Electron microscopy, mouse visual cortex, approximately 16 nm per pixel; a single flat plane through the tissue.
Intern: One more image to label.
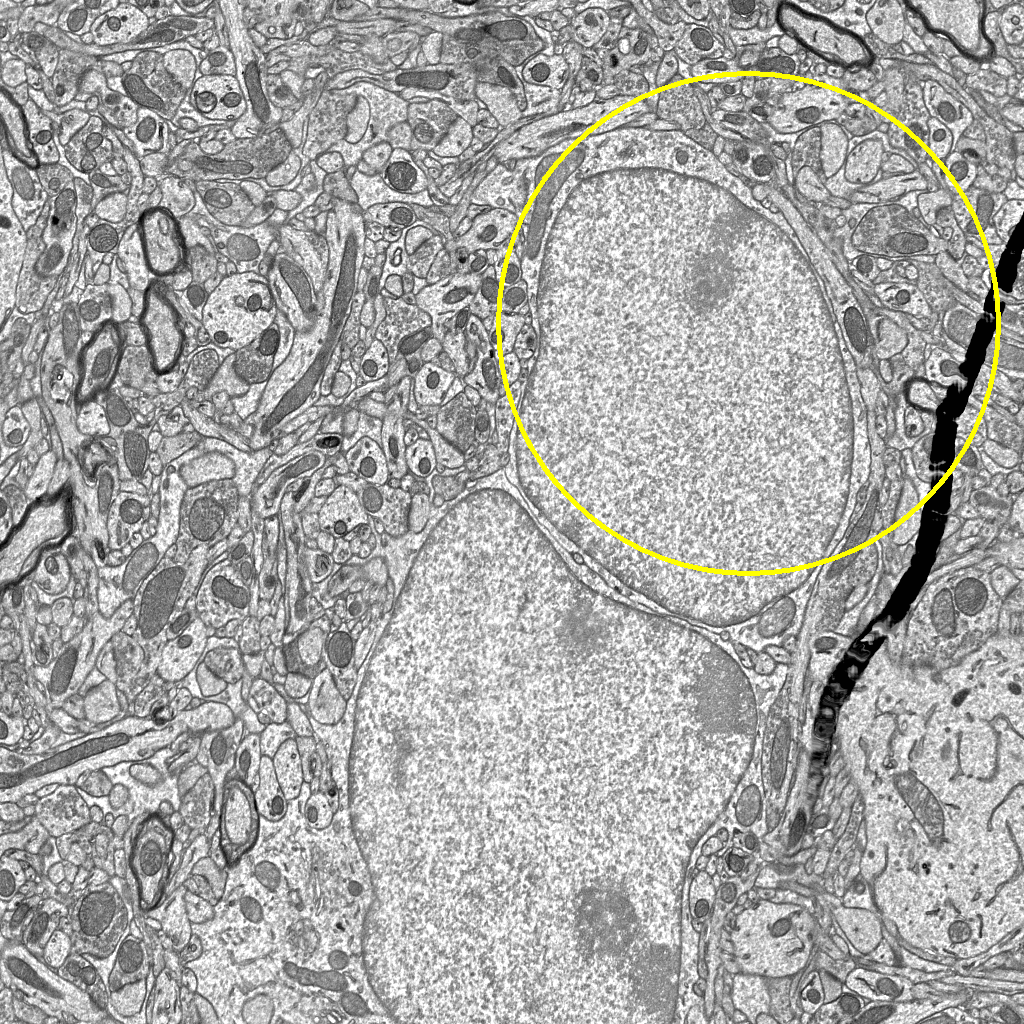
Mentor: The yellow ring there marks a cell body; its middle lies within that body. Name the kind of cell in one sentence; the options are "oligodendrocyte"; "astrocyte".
The ring marks the cell body of an astrocyte.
